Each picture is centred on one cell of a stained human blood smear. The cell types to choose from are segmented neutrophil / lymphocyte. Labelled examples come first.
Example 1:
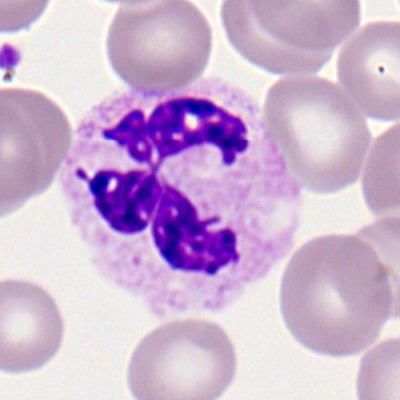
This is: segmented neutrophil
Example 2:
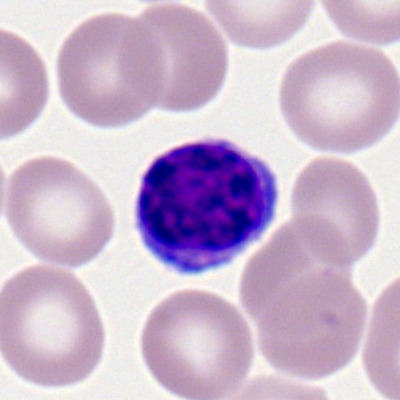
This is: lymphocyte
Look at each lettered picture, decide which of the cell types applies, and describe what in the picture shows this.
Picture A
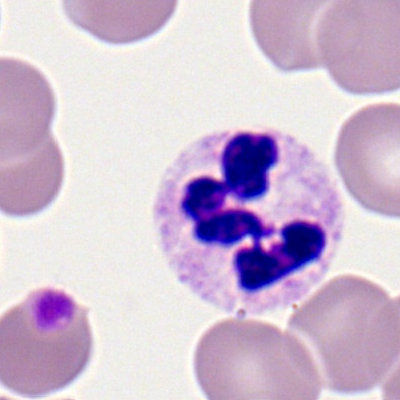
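Label: segmented neutrophil. The cytoplasm is plentiful and pale pink-lilac.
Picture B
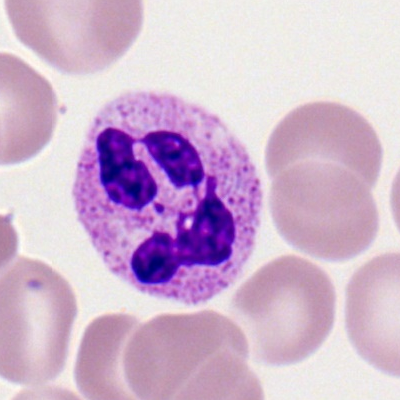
Label: segmented neutrophil. The cytoplasm is plentiful and pale pinkish-lilac.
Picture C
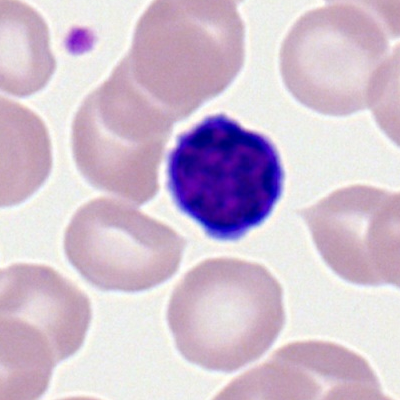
Label: lymphocyte. Cytoplasm is scant, showing at most as a very thin rim at the edge.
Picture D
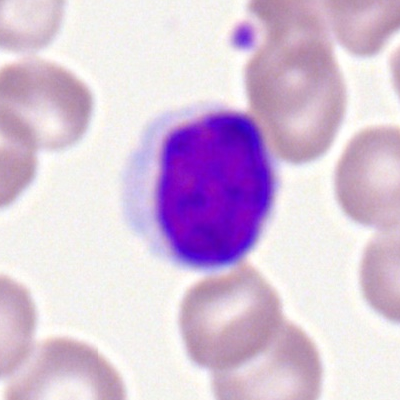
Label: lymphocyte. The nucleus fills most of the cell.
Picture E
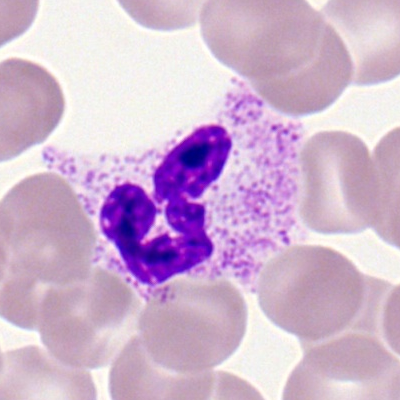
Label: segmented neutrophil. The cytoplasm is abundant and pale pinkish-lilac.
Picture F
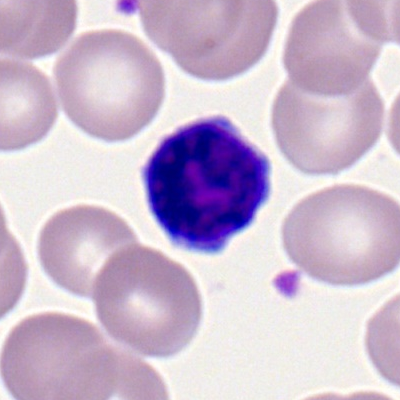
Label: lymphocyte. Only a very thin rim of cytoplasm shows, mainly at the upper and lower edges.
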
